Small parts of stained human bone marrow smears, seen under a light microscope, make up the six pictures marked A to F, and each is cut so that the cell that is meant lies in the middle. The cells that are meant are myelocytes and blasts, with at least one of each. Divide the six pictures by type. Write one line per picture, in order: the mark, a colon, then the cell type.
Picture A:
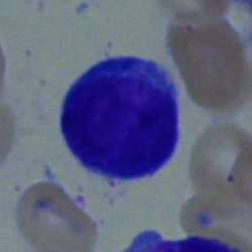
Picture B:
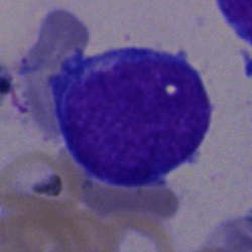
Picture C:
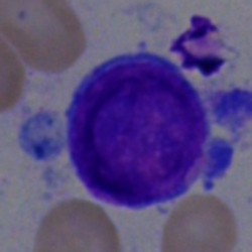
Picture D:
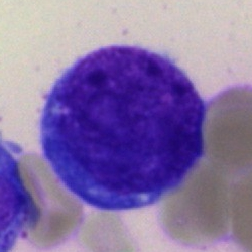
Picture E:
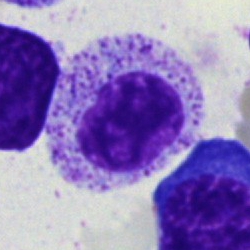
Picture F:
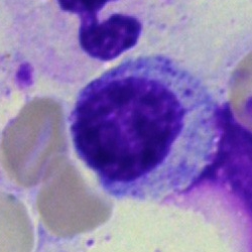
A: blast
B: blast
C: blast
D: blast
E: myelocyte
F: myelocyte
